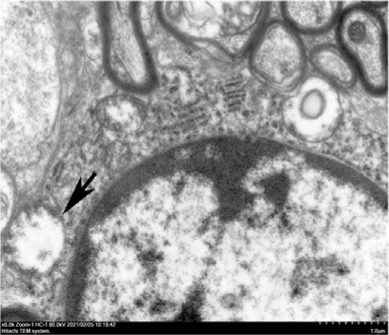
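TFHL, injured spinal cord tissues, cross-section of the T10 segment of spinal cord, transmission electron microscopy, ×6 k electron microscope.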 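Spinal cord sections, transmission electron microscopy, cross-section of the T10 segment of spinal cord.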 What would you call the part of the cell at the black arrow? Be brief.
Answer: Autophagosome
